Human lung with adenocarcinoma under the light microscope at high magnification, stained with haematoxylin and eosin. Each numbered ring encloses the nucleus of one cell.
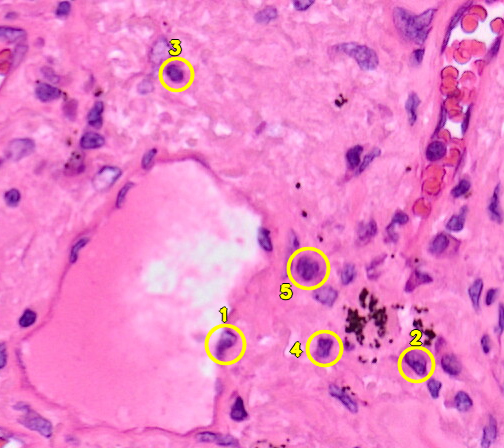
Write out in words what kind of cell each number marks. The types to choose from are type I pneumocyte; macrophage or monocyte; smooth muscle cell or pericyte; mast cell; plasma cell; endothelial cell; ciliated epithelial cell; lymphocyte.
Cell 1 is an endothelial cell, cell 2 is a plasma cell, cell 3 is a mast cell, cell 4 is a plasma cell and cell 5 is a plasma cell.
